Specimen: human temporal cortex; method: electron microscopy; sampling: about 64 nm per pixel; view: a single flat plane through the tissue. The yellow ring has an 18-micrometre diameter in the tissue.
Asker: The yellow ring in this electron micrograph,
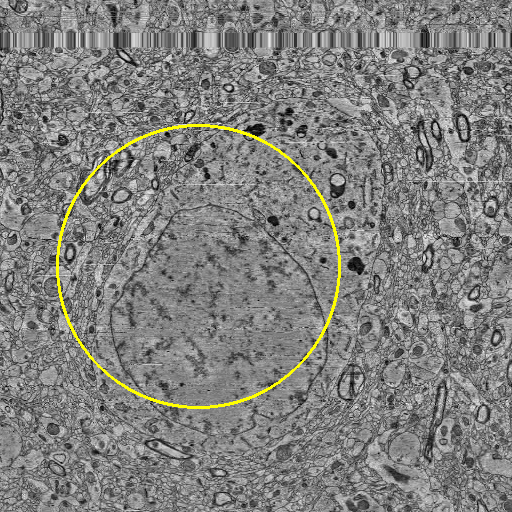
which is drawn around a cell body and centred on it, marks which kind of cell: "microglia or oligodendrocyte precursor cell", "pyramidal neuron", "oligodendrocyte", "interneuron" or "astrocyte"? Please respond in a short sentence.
The marked cell is a pyramidal neuron.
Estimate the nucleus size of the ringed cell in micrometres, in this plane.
About 15 micrometres across in this plane.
